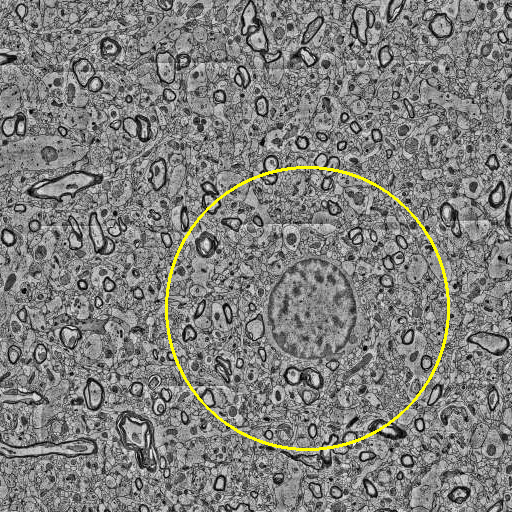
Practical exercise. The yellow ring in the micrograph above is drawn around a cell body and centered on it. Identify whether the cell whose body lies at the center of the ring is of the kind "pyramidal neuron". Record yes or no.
no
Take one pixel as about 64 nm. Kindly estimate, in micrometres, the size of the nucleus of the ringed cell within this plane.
The nucleus measures about 6 by 5 micrometres in this plane.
